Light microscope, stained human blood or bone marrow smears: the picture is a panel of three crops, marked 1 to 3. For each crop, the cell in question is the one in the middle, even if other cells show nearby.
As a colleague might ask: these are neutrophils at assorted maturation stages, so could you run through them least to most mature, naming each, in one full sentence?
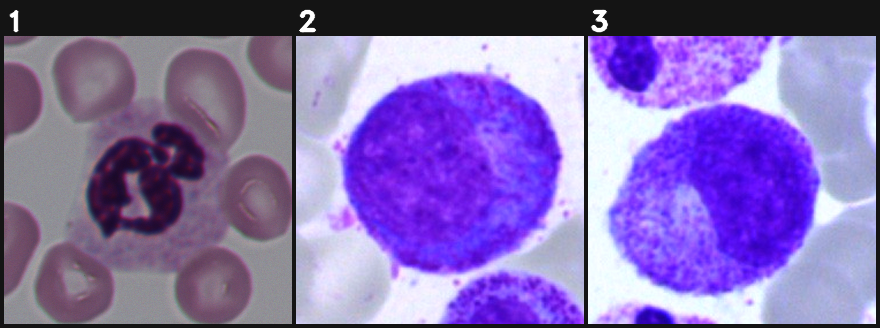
The crops, when placed from least to most mature, read crop 2 (a promyelocyte), crop 3 (a myelocyte) and crop 1 (a segmented neutrophil).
